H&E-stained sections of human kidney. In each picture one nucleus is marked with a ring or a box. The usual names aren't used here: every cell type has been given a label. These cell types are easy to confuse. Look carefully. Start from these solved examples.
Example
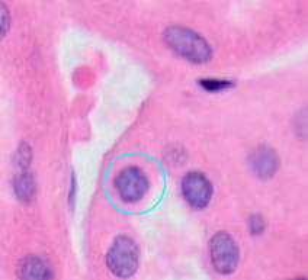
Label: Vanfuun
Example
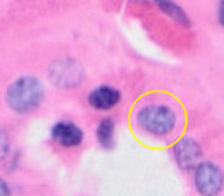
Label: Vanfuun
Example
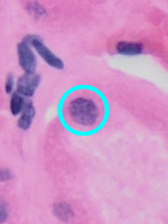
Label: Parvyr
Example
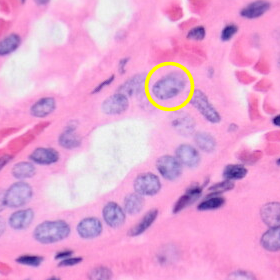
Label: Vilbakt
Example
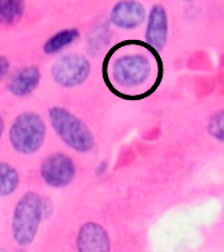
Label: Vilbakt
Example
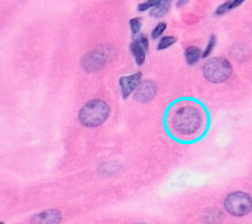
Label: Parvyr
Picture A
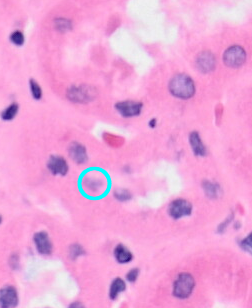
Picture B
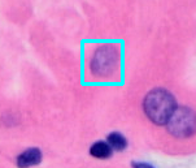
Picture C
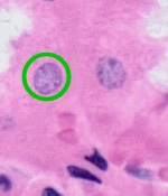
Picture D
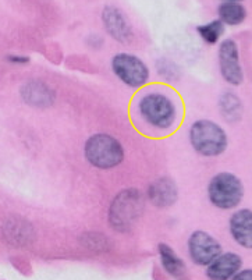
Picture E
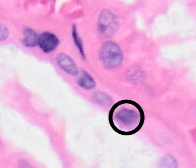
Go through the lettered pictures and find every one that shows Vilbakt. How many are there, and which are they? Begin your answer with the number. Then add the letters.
Count: 2 (D, E)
